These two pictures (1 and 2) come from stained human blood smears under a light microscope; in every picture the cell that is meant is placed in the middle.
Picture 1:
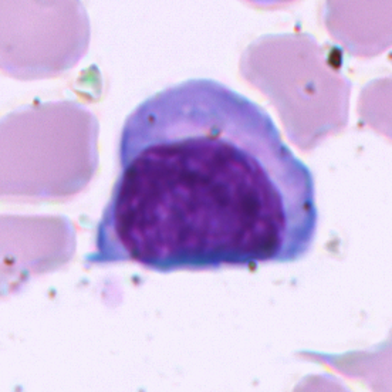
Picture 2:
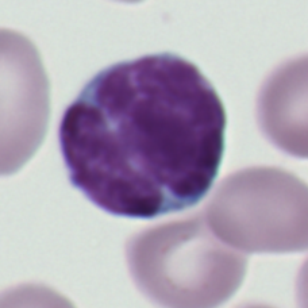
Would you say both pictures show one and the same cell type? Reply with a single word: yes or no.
no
